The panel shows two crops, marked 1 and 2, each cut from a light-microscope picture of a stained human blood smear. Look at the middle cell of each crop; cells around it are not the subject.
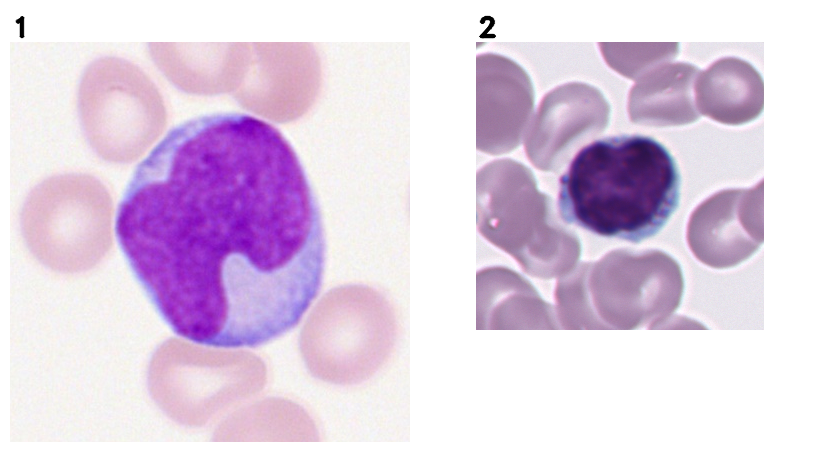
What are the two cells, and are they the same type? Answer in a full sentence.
No, crop 1 should be called a blast, and crop 2 should be called a lymphocyte.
